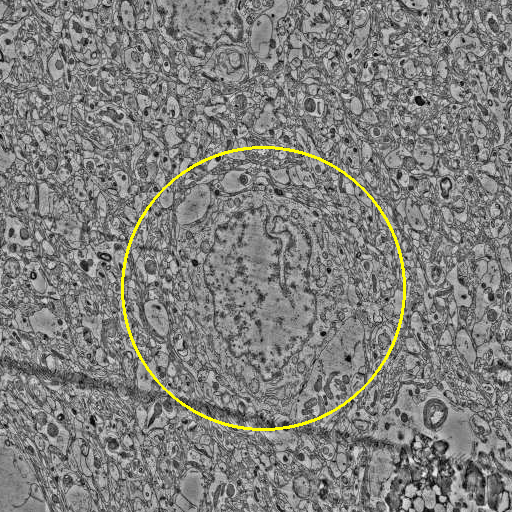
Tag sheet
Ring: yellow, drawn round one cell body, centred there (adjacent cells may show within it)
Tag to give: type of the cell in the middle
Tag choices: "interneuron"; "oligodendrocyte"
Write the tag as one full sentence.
I tag the cell centred in the yellow ring as an interneuron in this picture.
